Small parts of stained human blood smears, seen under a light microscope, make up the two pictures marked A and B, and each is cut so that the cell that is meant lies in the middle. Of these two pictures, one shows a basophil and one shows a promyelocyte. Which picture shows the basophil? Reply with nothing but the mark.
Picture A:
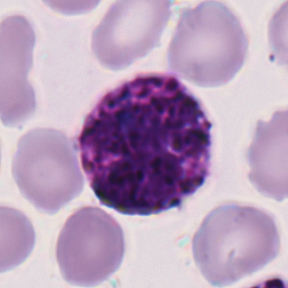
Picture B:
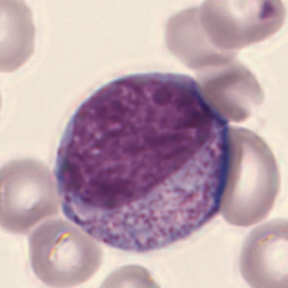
A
